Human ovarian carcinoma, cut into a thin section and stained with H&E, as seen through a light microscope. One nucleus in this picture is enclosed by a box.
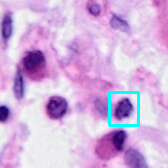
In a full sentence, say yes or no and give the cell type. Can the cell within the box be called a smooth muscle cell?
No, the cell within the box is classed as a lymphocyte, not as a smooth muscle cell.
